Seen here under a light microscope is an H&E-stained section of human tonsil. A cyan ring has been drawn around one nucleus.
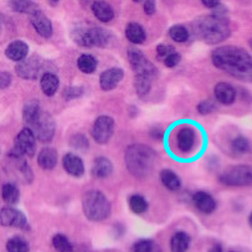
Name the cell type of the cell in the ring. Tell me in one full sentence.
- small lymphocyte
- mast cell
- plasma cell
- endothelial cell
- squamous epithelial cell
The cell type represented by the cell in the ring is that of a plasma cell.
